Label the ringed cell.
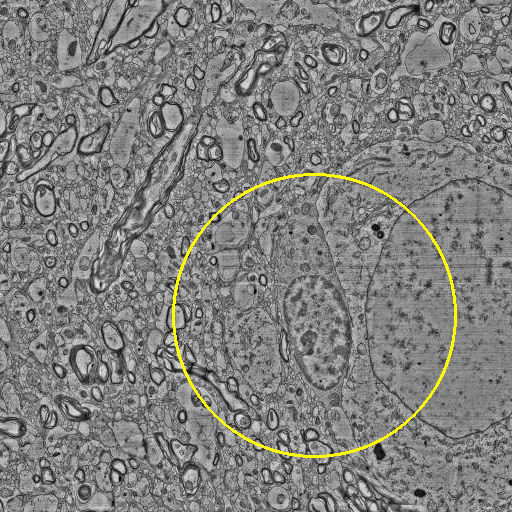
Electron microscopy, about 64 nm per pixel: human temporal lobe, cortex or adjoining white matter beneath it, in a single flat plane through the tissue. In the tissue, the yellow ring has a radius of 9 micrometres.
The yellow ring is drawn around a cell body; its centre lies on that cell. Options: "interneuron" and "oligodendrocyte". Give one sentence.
The ringed cell is an oligodendrocyte.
